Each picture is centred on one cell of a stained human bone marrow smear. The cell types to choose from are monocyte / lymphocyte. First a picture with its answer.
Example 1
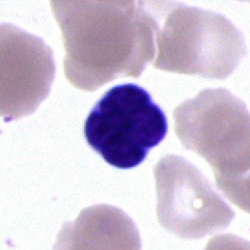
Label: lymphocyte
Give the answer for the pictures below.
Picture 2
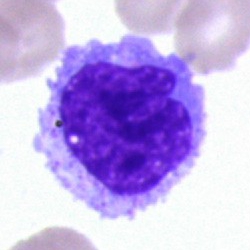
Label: monocyte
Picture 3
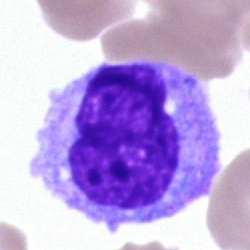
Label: monocyte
